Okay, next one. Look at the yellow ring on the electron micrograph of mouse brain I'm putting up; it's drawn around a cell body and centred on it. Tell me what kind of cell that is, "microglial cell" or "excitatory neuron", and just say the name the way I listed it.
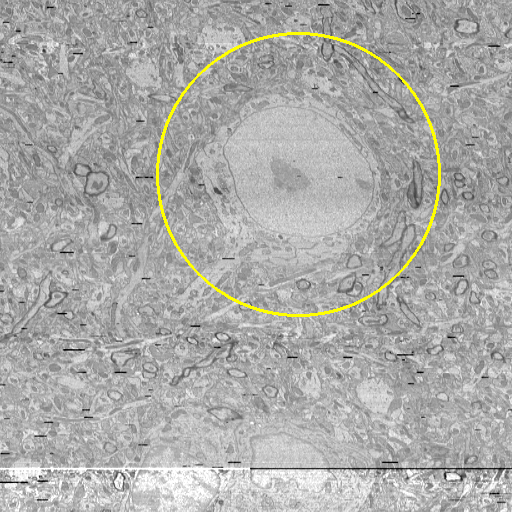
excitatory neuron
